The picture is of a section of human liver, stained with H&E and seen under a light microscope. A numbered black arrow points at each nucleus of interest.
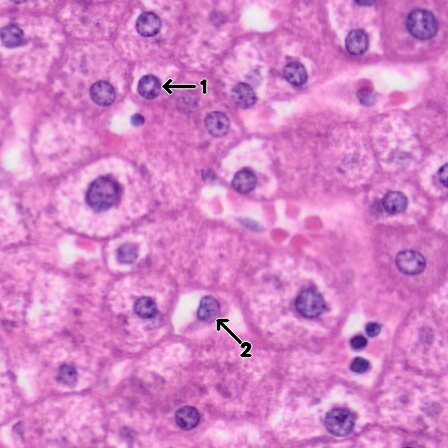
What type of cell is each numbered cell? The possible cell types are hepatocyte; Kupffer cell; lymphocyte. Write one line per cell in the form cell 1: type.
cell 1: hepatocyte
cell 2: Kupffer cell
